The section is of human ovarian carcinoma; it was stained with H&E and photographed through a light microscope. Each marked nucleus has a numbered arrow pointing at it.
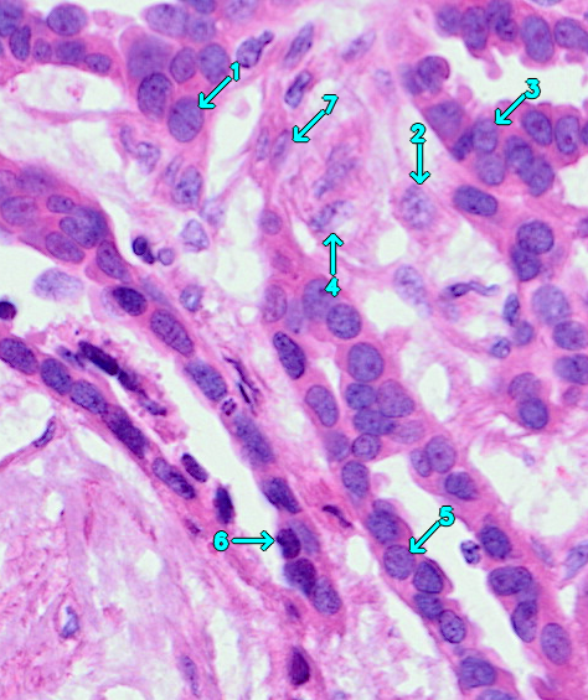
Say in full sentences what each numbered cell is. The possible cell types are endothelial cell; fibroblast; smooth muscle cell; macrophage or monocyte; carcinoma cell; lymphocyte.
Cell 1 is a carcinoma cell, cell 2 is a fibroblast, cell 3 is a carcinoma cell, cell 4 is a fibroblast, cell 5 is a carcinoma cell, cell 6 is a carcinoma cell and cell 7 is a fibroblast.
